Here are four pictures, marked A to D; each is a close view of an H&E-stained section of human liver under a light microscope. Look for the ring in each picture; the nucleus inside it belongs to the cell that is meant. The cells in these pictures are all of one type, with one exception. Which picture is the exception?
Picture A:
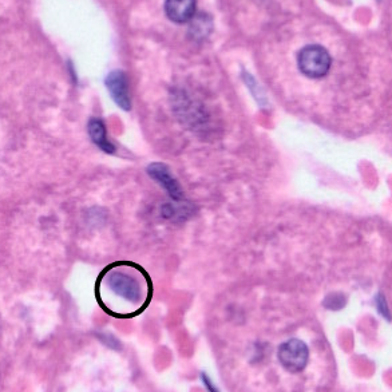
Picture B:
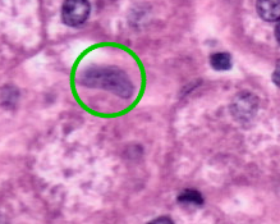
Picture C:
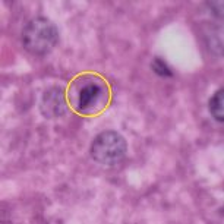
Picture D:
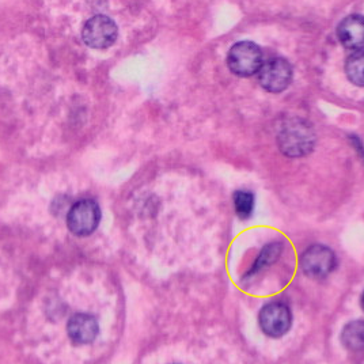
C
